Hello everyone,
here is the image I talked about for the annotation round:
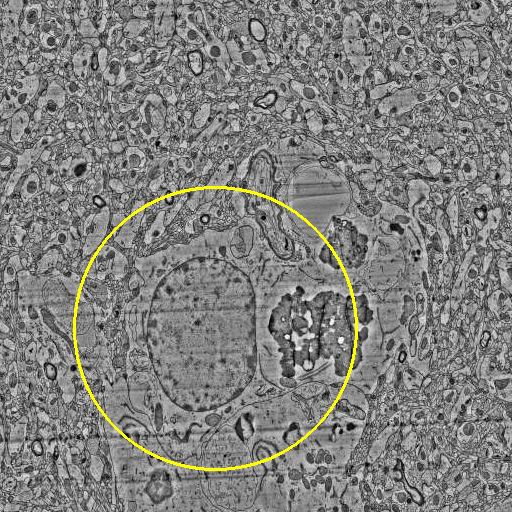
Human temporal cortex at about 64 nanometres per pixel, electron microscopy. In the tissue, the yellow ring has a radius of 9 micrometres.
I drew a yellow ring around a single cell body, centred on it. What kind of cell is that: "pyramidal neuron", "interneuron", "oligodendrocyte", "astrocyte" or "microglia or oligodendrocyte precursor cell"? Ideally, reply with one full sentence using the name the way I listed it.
The cell your yellow ring is centred on is an astrocyte, going by your list.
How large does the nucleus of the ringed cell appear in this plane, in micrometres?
The nucleus has a long axis of about 10 micrometres and a short axis of about 7 micrometres in this plane.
